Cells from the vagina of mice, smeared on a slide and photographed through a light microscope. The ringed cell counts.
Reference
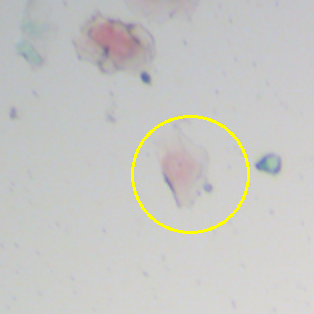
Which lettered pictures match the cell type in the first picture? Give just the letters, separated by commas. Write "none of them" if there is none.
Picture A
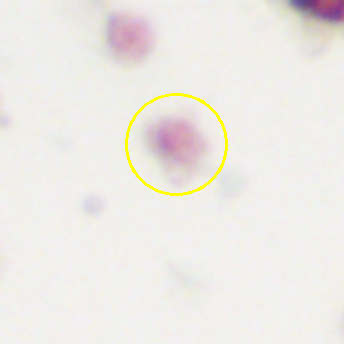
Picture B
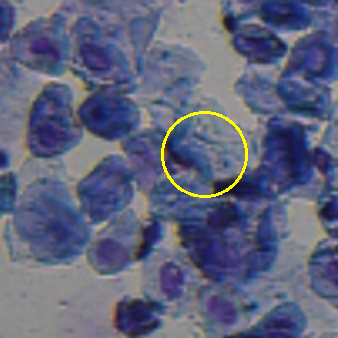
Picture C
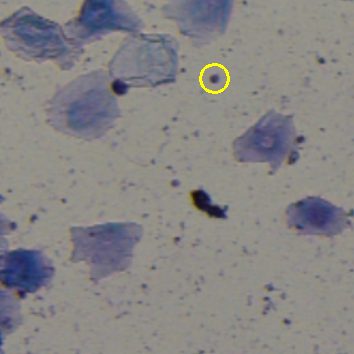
B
